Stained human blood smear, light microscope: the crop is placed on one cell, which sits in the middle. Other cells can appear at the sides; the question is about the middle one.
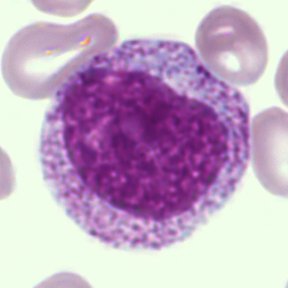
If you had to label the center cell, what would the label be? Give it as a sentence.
The crop's centre is taken up by a myelocyte.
